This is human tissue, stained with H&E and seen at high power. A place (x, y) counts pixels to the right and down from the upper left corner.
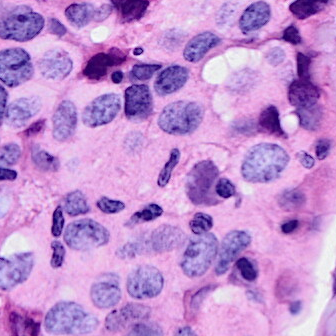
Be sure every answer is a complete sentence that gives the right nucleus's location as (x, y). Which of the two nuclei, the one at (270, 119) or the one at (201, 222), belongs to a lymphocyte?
The nucleus found at (201, 222) belongs to a lymphocyte.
